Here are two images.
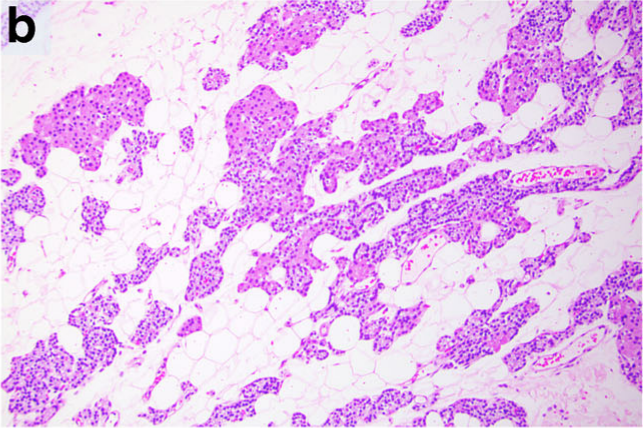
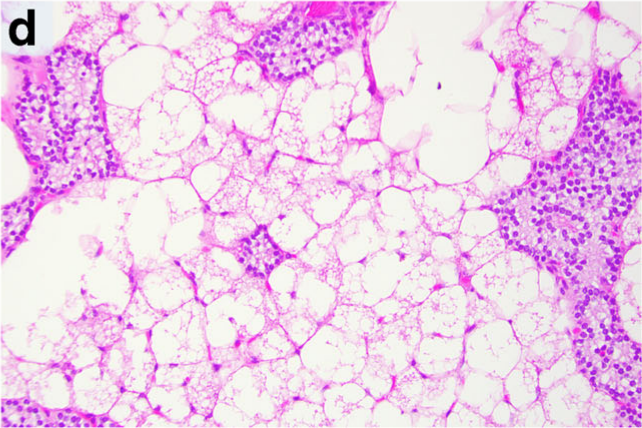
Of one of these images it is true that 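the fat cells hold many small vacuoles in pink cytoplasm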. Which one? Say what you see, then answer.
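Second image: fat cells are filled with many small clear vacuoles divided by pink strands. First image: fat cells are single large empty spaces with thin walls.
Answer: the second image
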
